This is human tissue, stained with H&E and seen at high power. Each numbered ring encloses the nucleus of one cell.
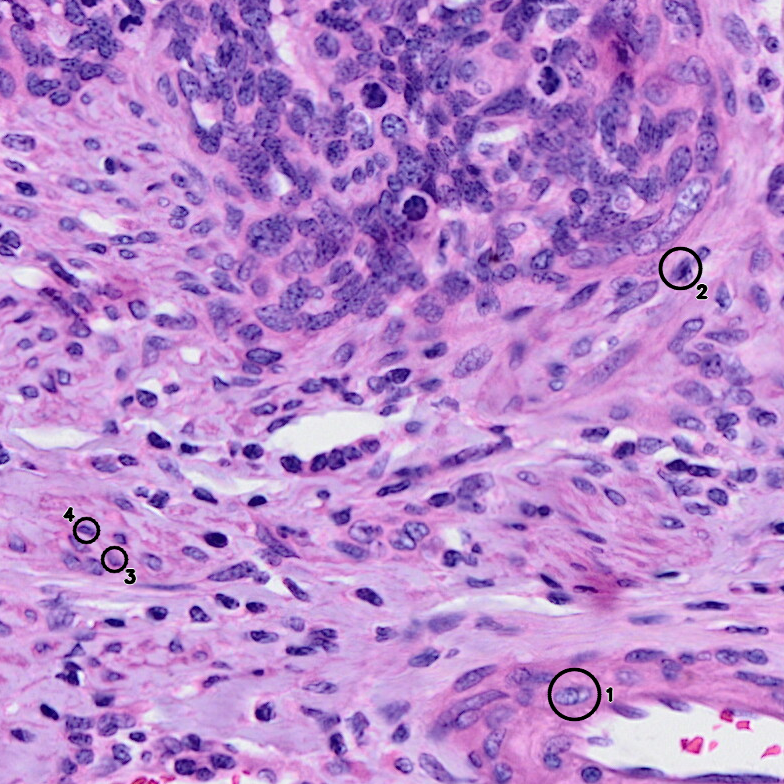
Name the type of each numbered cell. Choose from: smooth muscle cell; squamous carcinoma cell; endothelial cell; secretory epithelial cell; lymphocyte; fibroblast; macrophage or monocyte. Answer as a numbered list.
1. smooth muscle cell
2. lymphocyte
3. smooth muscle cell
4. smooth muscle cell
